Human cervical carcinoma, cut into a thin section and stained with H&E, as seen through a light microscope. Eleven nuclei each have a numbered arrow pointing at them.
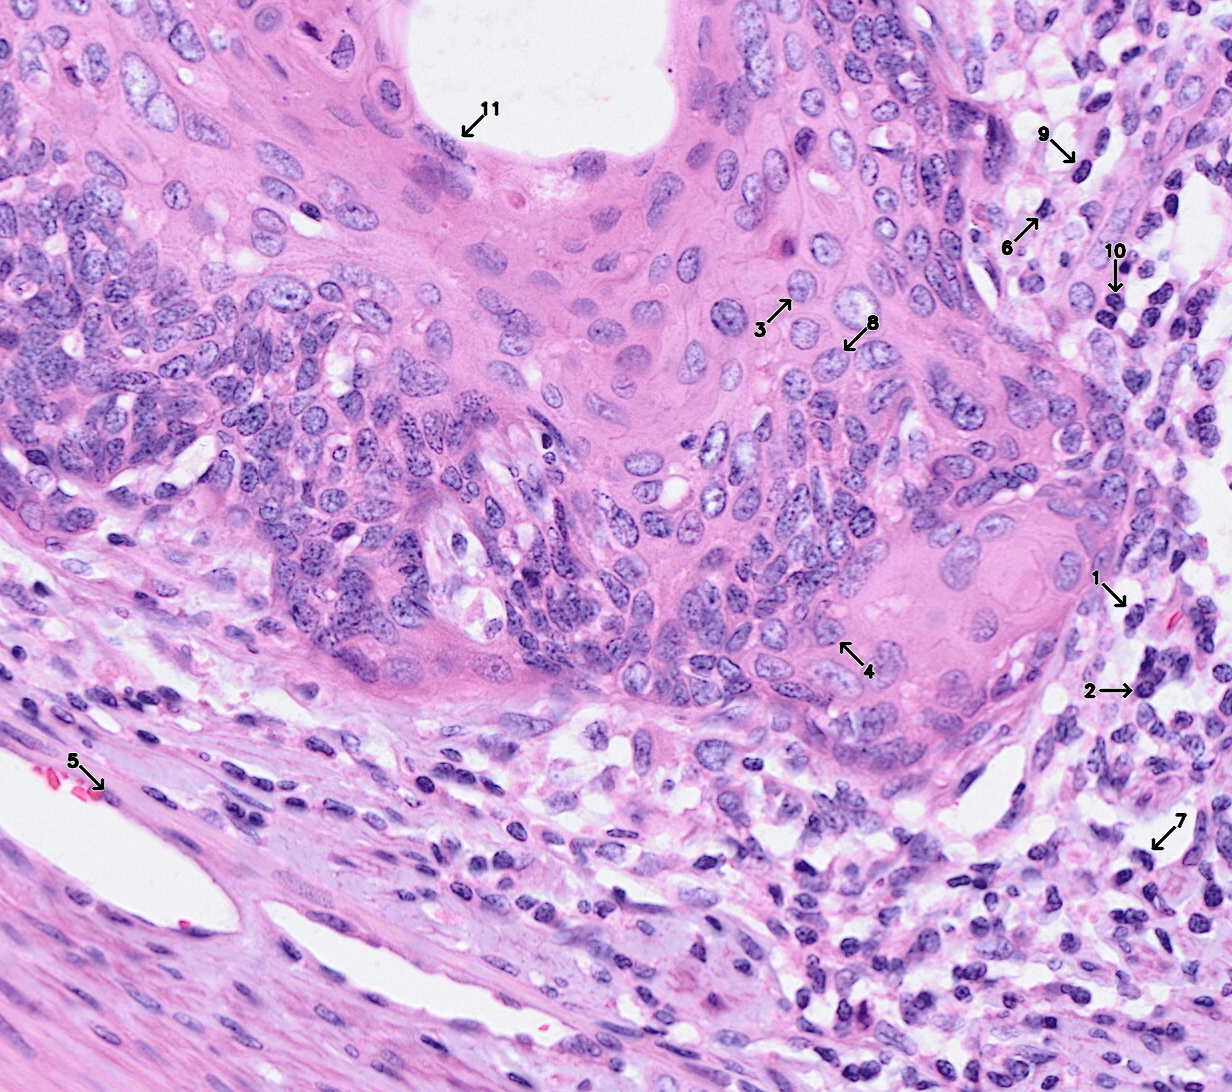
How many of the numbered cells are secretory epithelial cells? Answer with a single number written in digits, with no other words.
0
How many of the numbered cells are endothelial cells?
1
